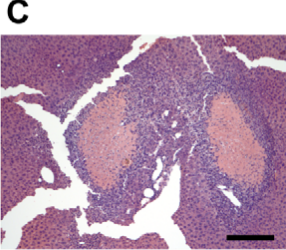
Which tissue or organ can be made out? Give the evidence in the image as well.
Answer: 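Liver. Thin-walled vessel spaces run through the tissue.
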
